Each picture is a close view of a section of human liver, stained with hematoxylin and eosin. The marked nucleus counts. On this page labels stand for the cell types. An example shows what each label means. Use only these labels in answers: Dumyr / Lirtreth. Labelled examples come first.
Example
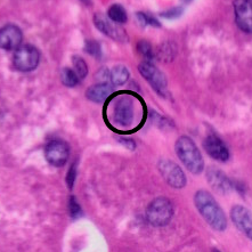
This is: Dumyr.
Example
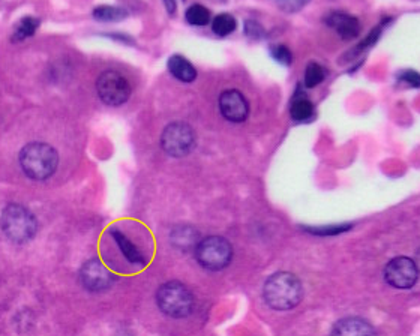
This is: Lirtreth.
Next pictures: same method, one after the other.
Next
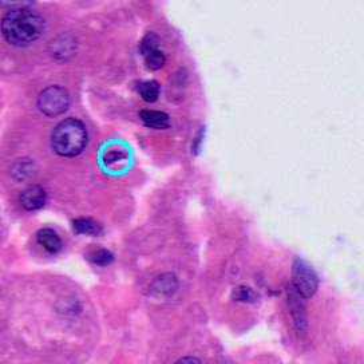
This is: Lirtreth.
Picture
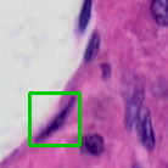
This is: Lirtreth.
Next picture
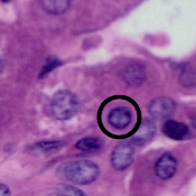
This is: Dumyr.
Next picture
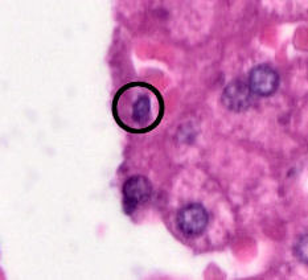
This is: Lirtreth.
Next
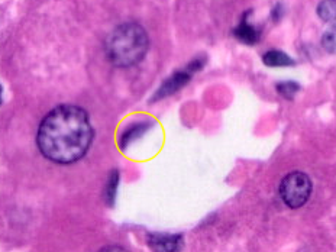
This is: Lirtreth.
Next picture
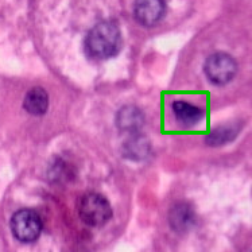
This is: Lirtreth.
